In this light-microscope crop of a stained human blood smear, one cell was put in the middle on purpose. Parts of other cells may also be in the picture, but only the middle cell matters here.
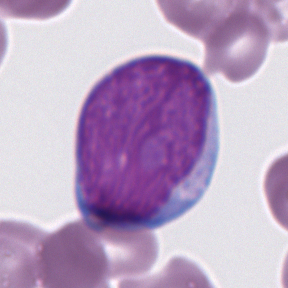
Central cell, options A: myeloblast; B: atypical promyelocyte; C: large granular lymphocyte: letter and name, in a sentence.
The cell in the middle is a myeloblast, and so option A is correct.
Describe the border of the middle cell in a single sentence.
The cell shows a smooth outline that lacks any surface projections.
